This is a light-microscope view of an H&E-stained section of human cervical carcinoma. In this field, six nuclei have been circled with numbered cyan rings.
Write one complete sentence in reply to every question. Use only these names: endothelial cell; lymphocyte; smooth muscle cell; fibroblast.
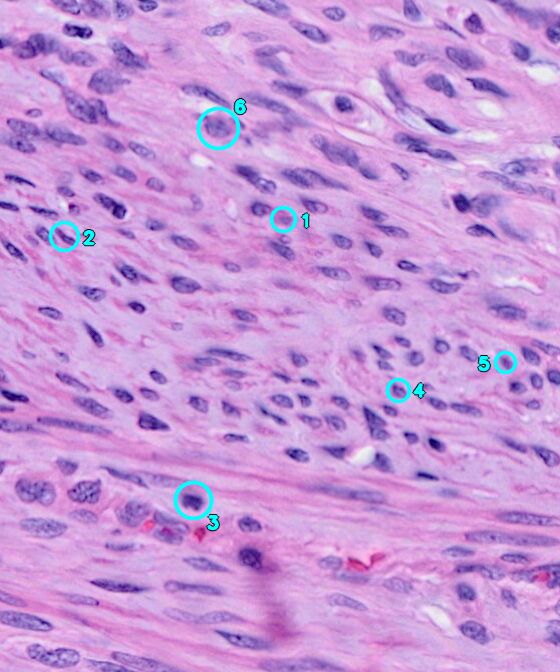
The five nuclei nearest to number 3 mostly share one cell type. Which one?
The majority of the five nuclei closest to number 3 belong to endothelial cells.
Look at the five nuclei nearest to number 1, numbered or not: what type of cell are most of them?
Around number 1, most of the five nearest nuclei are those of smooth muscle cells.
